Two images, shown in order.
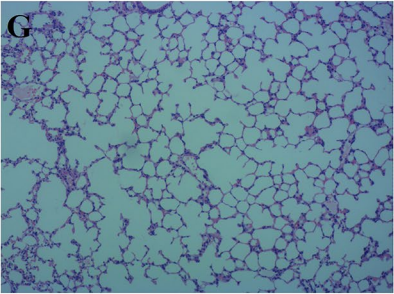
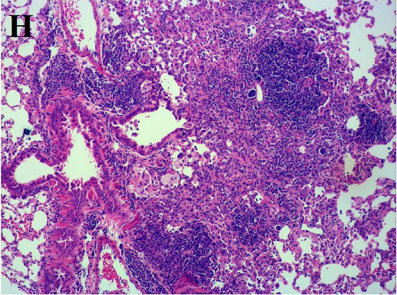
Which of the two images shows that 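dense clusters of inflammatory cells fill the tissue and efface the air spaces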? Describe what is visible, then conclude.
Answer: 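Second image: large dark purple masses of packed nuclei with few remaining air spaces. First image: open lace-like air spaces with thin septa and no cell clusters. The answer: the second image.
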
